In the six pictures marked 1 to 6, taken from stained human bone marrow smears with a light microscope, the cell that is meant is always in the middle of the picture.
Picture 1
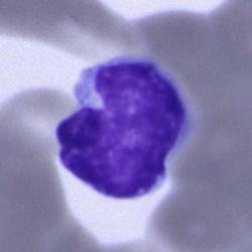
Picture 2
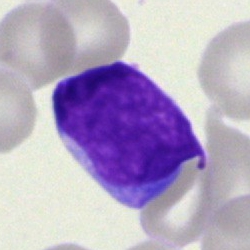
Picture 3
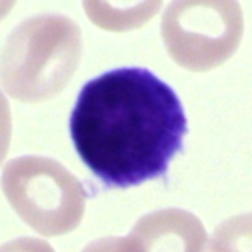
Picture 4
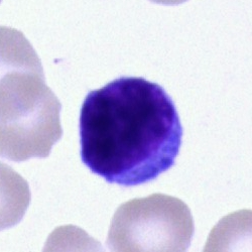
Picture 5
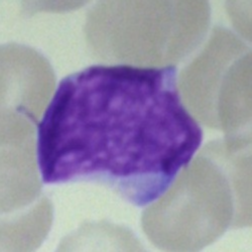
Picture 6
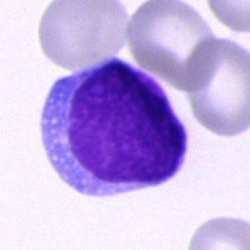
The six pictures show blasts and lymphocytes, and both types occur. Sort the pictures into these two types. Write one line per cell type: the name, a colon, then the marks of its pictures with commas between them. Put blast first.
blast: 2, 5, 6
lymphocyte: 1, 3, 4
